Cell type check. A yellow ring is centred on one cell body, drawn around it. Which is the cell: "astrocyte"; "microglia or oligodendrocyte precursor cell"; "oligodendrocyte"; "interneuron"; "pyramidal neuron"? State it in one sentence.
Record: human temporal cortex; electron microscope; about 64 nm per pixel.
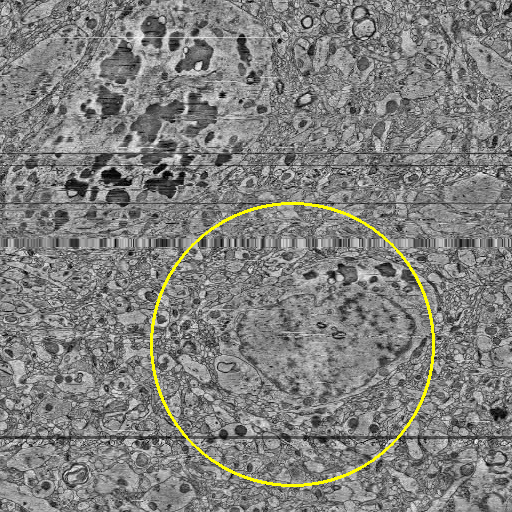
The cell body at the ring's centre belongs to an interneuron.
